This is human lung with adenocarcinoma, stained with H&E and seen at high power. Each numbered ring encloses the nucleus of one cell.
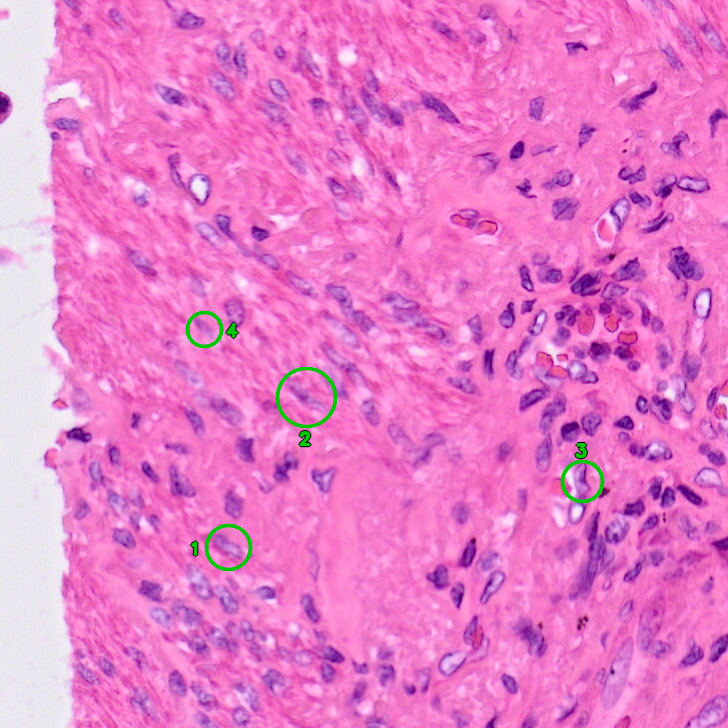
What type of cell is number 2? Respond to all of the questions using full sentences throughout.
The marked nucleus 2 is that of a smooth muscle cell or pericyte.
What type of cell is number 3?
Numbered cell 3 is an endothelial cell in this tissue section.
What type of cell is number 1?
Number 1 is placed on a smooth muscle cell or pericyte here.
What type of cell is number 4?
Cell number 4 in this section is a smooth muscle cell or pericyte.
